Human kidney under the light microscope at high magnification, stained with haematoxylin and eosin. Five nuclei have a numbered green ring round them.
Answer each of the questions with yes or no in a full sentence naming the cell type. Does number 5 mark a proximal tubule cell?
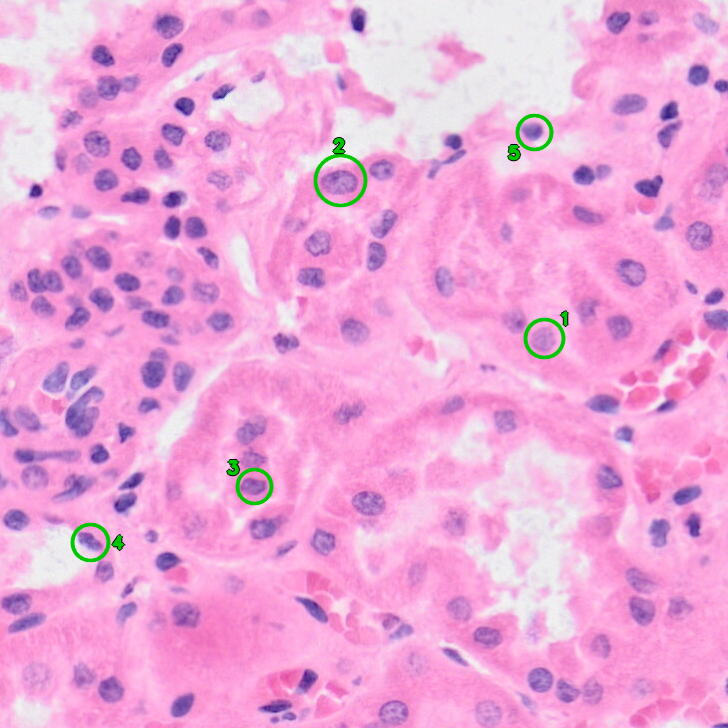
No, the identification of cell 5 as a proximal tubule cell is incorrect; it is an endothelial cell.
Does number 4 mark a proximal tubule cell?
No, the cell bearing number 4 is not a proximal tubule cell but a loop of Henle or distal tubule cell.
